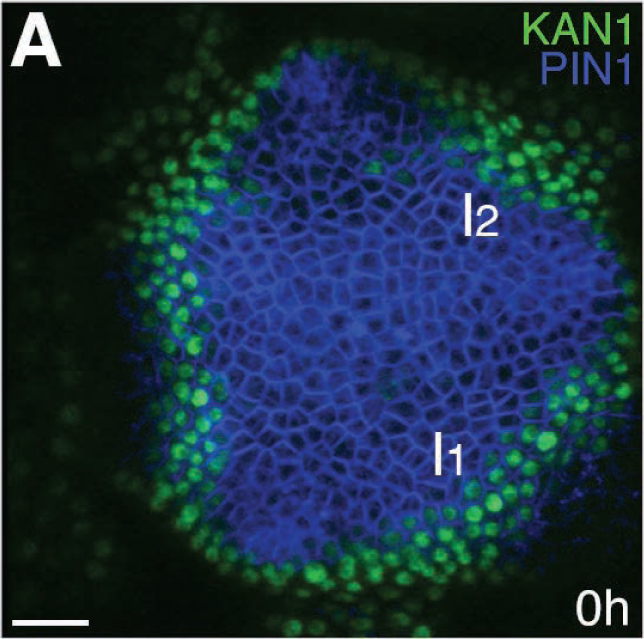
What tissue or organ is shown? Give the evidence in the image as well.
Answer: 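A dome of small polygonal cells seen from above. A ring of cells with green nuclei surrounds the central dome. Bulges at the periphery of the dome. So: inflorescence meristem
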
